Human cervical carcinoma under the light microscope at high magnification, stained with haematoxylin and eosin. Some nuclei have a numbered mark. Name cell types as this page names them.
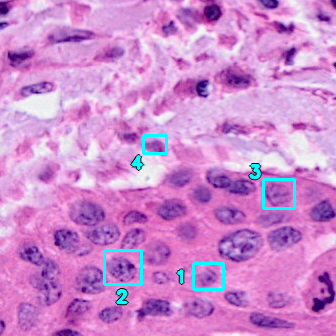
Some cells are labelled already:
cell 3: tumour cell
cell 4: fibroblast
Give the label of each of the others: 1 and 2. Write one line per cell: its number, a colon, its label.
1: tumour cell
2: tumour cell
